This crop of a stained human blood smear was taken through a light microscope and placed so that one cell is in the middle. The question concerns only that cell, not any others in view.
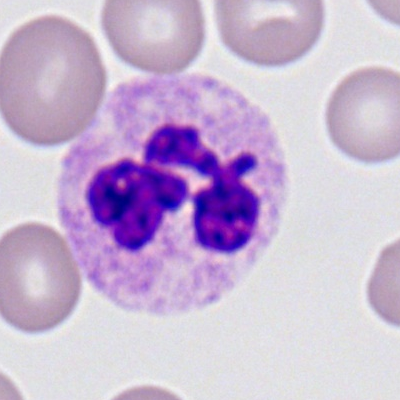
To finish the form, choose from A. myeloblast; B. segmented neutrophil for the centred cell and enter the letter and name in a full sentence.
The cell centered in the crop is a segmented neutrophil, making option B the correct pick.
